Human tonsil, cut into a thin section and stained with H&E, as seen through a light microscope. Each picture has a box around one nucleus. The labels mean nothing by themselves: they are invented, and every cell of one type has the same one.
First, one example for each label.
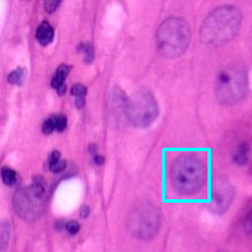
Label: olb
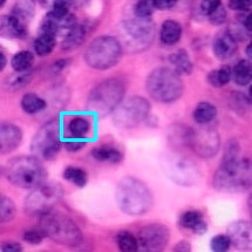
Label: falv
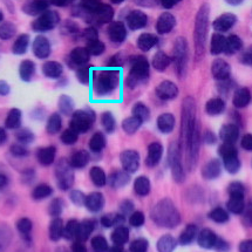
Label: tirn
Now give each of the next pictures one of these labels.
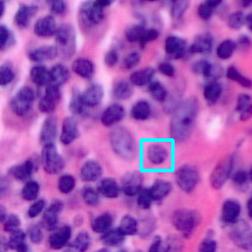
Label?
falv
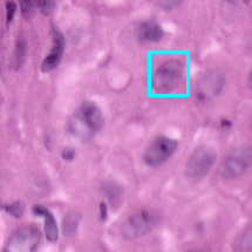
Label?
olb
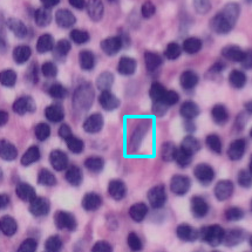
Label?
falv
